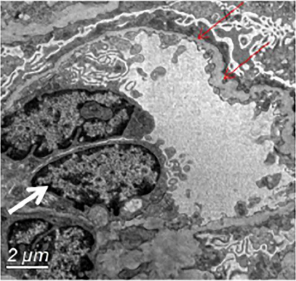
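This electron micrograph shows a glomerular capillary loop with endothelial cells lying against its pale lumen. Two nuclei with dense, clumped chromatin sit close together on the inner side of the loop wall. The capillary lumen is filled with pale, finely granular material. A grey basement membrane runs around the loop, with the outer epithelial covering and folded cell membranes of the urinary space beyond it at the upper right.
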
